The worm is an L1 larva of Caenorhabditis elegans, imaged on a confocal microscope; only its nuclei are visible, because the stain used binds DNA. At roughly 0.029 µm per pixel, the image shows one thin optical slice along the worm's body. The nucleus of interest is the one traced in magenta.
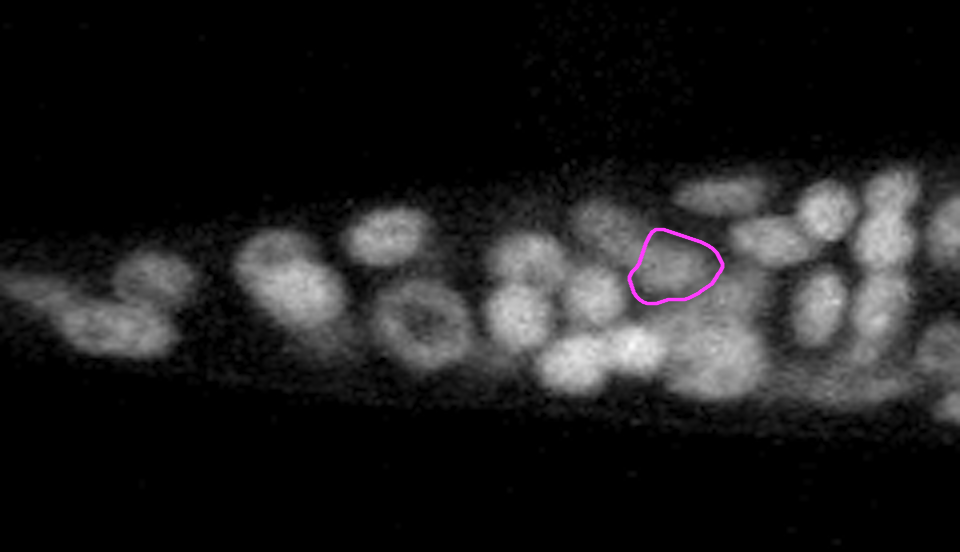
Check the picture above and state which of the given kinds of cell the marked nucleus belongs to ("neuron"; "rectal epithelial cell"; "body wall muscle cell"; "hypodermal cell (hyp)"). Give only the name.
neuron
